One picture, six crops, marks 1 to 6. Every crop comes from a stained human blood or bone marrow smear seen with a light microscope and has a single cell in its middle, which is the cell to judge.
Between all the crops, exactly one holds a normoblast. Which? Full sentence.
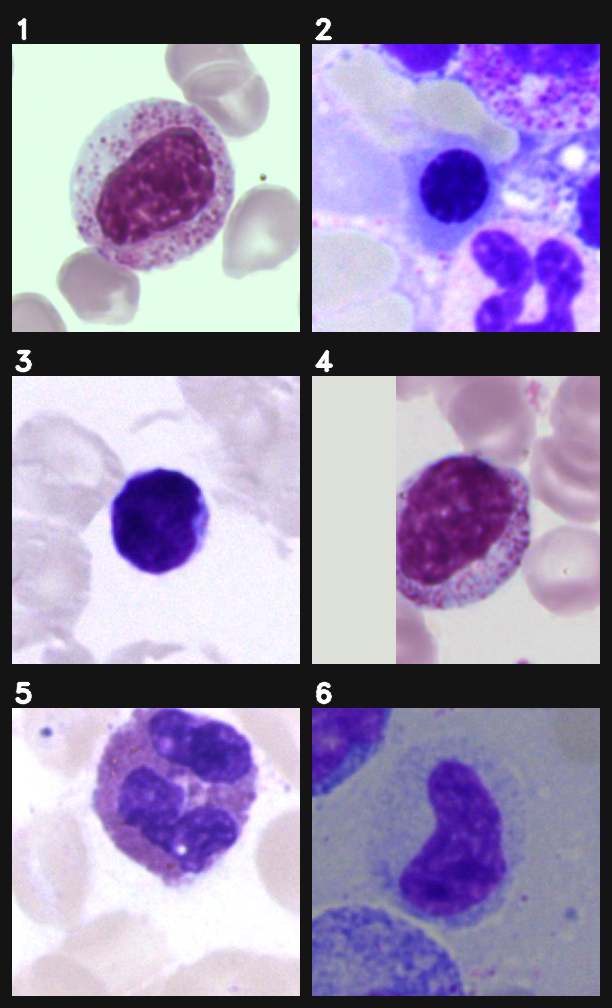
Of the labelled crops, the one that shows a normoblast is crop 2.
